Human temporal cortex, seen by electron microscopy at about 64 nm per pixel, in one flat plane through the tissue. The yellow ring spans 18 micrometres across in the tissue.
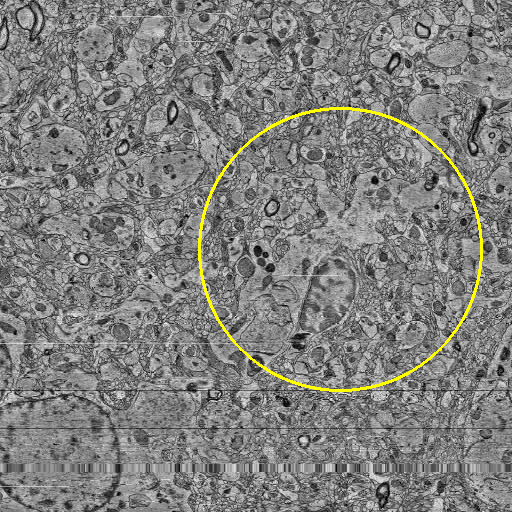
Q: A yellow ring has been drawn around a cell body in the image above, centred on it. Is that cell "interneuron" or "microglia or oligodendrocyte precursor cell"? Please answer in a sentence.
The ring surrounds the cell body of a microglial cell or oligodendrocyte precursor cell.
